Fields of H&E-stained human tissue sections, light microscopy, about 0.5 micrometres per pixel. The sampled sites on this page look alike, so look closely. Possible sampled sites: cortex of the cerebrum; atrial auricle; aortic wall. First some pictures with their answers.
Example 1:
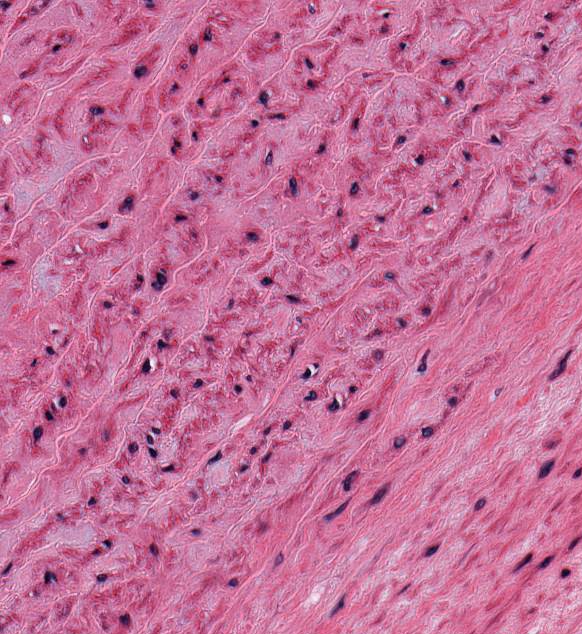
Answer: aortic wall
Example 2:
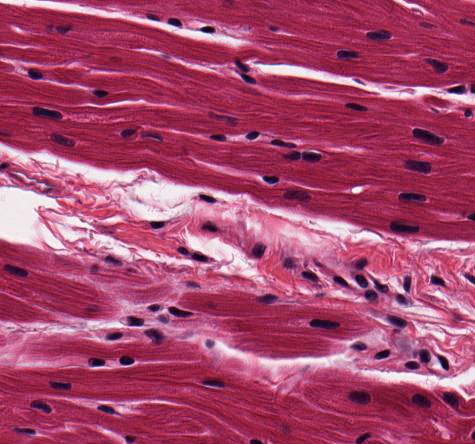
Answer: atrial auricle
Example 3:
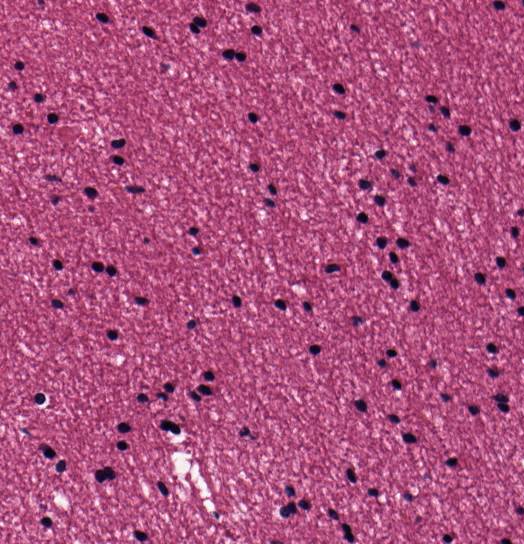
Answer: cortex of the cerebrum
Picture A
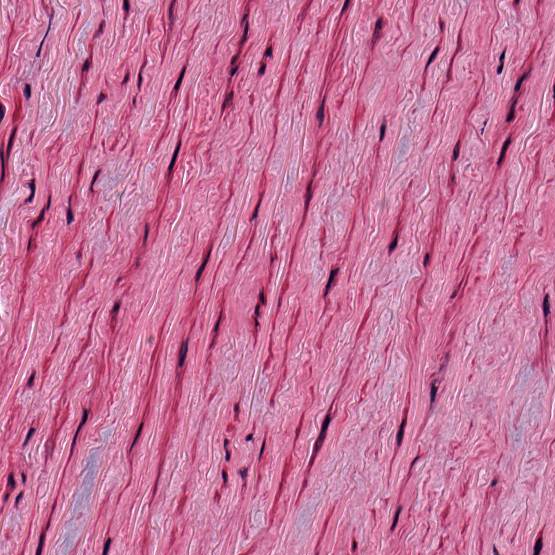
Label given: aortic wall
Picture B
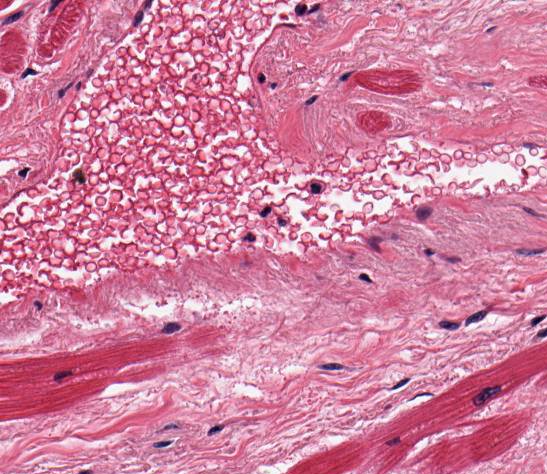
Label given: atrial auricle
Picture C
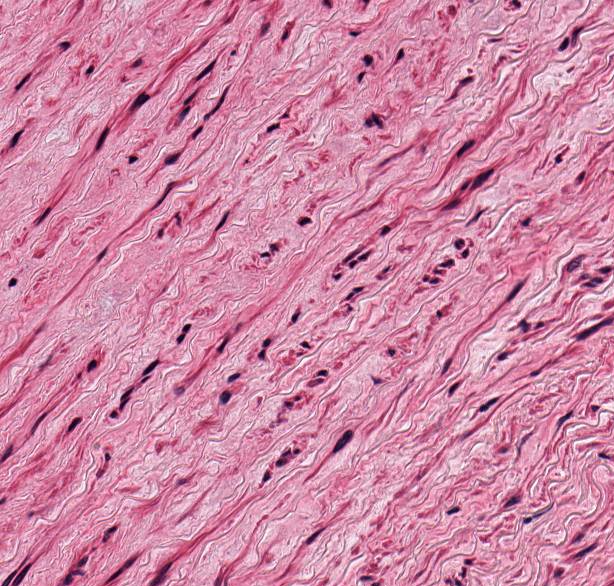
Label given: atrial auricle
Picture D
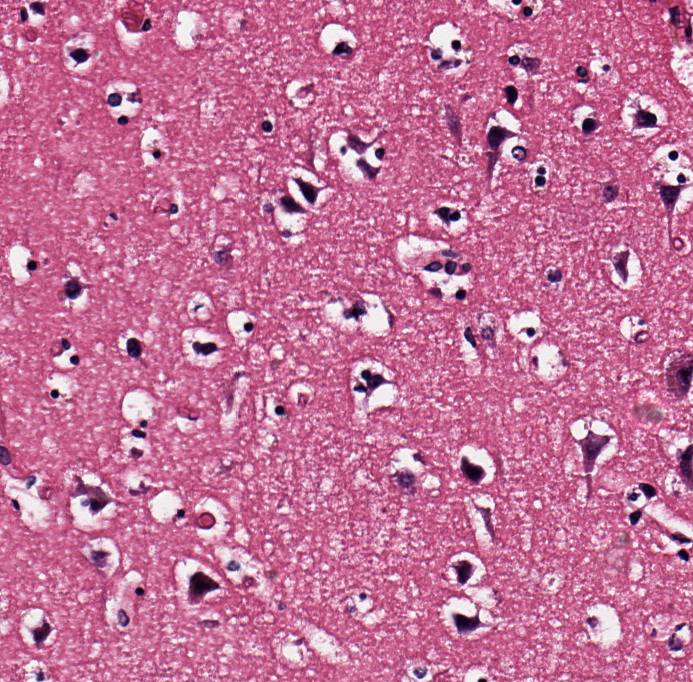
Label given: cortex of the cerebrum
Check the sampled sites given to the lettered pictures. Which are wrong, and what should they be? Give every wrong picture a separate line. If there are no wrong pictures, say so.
Wrong: C (atrial auricle); correct: aortic wall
